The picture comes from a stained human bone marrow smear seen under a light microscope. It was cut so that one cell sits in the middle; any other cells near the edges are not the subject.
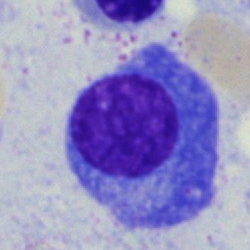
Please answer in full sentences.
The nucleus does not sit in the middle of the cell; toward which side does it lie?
Seen from the middle of the cell, the nucleus lies toward the upper left.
